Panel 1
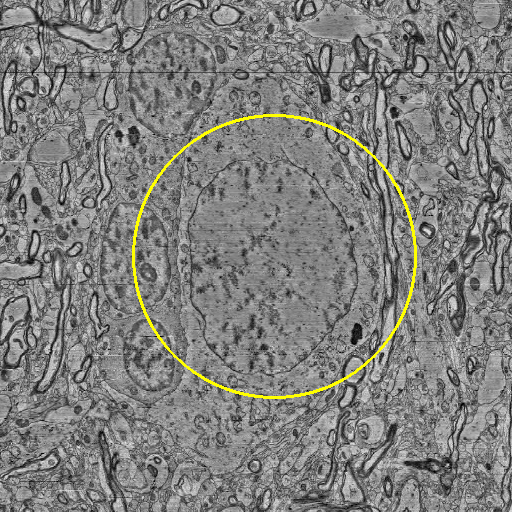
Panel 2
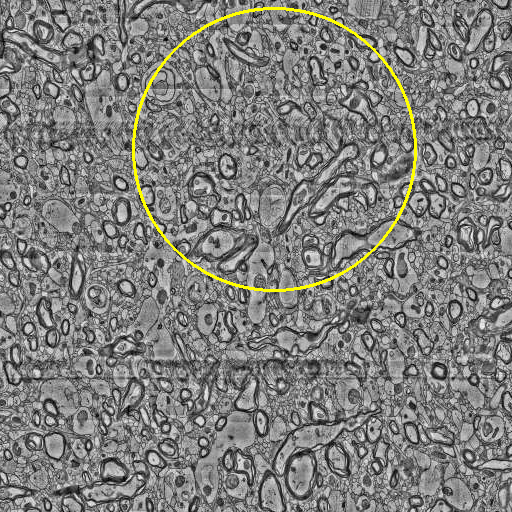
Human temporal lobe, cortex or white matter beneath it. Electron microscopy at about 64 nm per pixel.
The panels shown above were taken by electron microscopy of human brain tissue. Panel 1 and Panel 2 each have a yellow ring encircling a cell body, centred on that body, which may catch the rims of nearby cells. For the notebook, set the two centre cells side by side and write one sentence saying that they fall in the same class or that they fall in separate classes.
The centred cells of Panel 1 and Panel 2 fall in separate classes.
